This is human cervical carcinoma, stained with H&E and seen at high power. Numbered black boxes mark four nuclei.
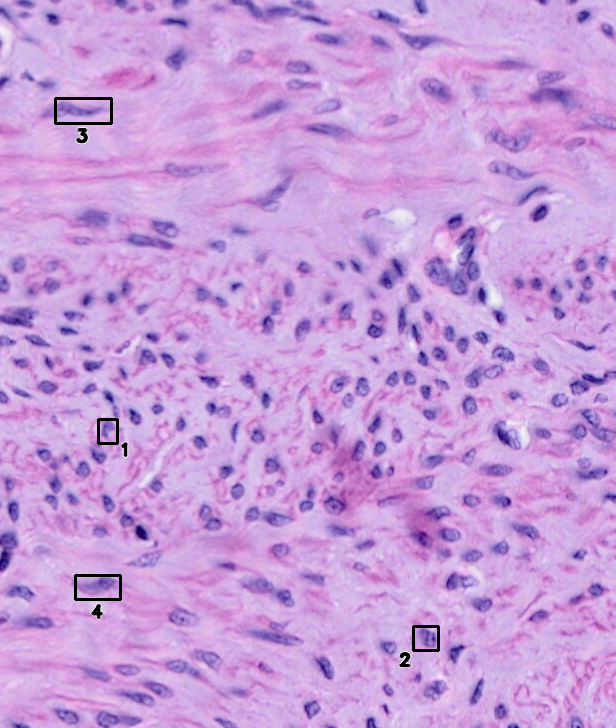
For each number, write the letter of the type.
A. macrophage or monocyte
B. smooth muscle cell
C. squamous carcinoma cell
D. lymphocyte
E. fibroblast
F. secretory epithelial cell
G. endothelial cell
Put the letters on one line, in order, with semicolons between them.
B; B; E; B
